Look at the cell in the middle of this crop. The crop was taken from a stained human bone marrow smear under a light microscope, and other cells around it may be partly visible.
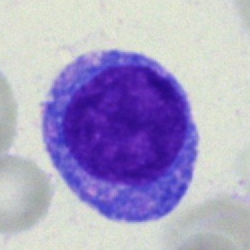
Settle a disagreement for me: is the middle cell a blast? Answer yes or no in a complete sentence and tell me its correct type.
Yes, the middle of the crop is occupied by a blast.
